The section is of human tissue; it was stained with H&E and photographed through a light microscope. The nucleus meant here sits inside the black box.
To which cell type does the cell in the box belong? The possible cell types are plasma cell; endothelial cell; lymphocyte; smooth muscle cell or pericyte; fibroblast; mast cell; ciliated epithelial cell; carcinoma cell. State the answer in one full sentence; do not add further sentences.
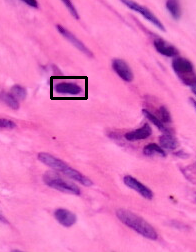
As for its identity, the cell in the box is a plasma cell.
